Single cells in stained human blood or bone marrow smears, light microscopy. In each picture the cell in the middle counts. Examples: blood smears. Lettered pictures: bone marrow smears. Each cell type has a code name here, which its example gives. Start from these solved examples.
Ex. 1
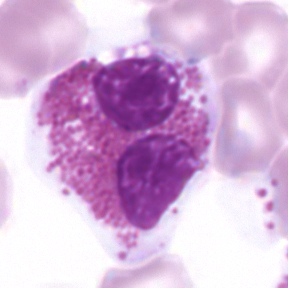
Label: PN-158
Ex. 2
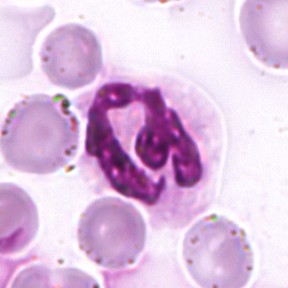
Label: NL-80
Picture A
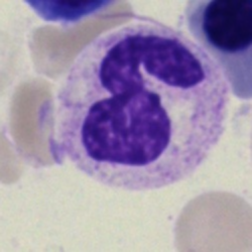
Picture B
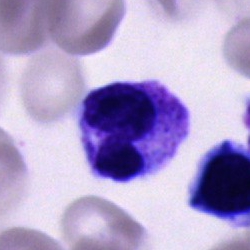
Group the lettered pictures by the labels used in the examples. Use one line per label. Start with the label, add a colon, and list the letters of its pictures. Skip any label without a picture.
NL-80: A, B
